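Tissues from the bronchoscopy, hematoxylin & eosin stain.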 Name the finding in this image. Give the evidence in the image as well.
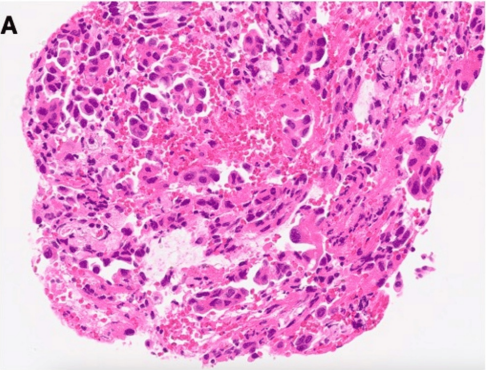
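Large, atypical cells scattered or in small clusters. Cells with greatly enlarged, dark, irregular nuclei of varying size. Some cells lie singly, others in small groups. Cells are much larger than the surrounding red blood cells.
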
